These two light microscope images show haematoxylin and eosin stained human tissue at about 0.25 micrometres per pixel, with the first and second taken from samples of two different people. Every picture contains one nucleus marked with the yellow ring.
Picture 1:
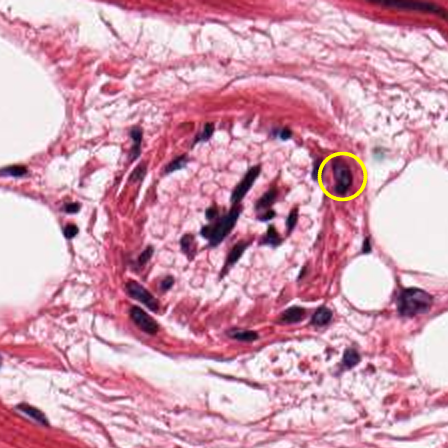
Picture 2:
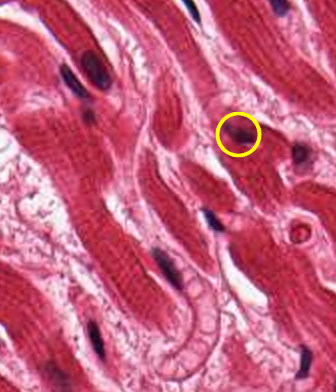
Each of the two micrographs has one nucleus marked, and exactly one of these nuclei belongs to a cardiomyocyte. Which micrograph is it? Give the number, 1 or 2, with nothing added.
2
